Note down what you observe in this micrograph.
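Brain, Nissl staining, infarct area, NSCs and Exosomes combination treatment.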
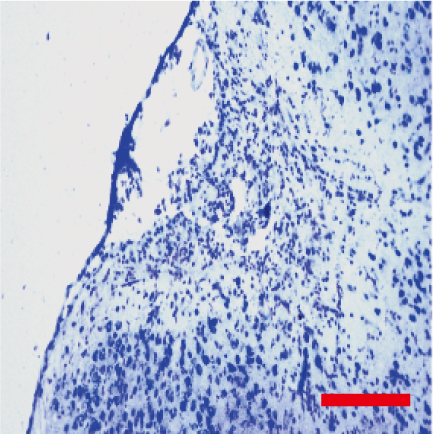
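On the left lies an empty, cell-free space bounded by a dark, irregular margin of tissue. To the right, the tissue is crowded with many cell bodies stained deep blue, of varied shapes: some are rounded or oval, others elongated. They are densest near the lower left border. The background between them is pale blue.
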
